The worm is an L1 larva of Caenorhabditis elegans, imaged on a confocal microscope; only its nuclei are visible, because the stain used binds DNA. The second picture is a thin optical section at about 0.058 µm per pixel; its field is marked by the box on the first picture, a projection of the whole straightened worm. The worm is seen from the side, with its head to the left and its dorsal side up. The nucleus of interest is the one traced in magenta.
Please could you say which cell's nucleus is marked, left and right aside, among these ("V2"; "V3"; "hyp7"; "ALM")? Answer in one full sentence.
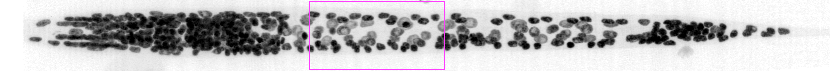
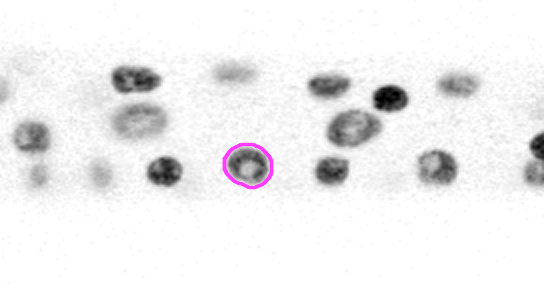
The marked nucleus belongs to V2, a seam cell.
